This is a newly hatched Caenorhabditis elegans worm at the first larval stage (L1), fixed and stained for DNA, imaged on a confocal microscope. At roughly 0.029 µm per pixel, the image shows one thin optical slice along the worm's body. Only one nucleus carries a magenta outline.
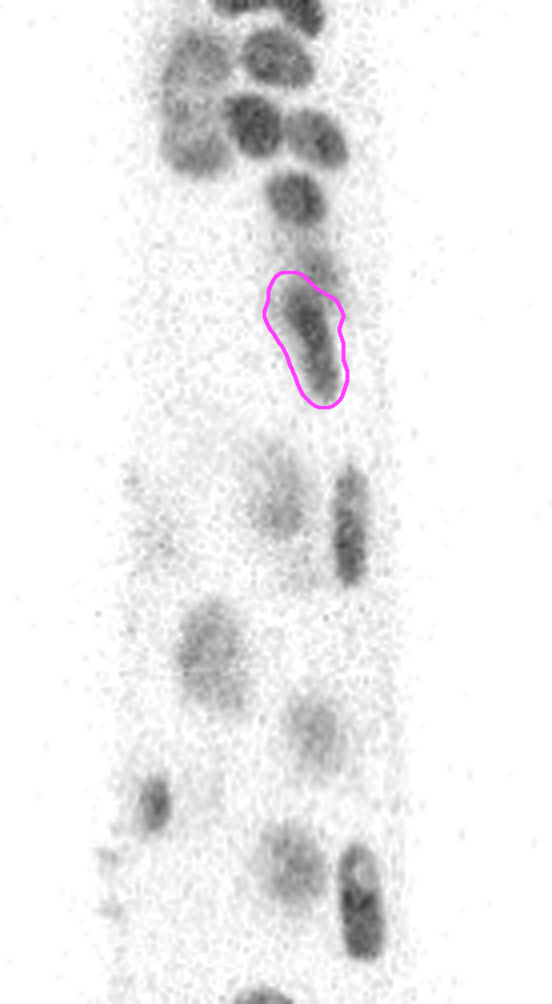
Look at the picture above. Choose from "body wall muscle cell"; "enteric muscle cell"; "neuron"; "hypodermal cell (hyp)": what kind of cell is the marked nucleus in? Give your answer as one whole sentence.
The marked nucleus belongs to an enteric muscle cell.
